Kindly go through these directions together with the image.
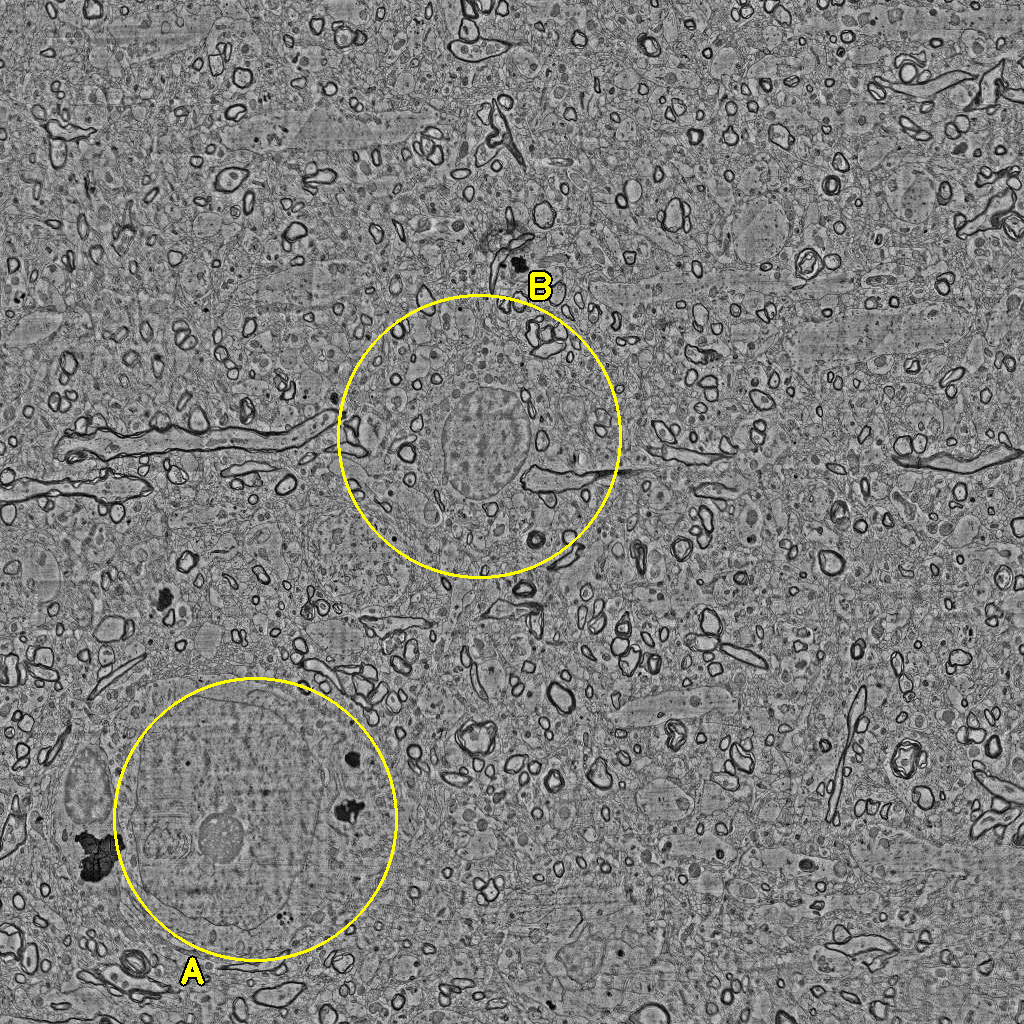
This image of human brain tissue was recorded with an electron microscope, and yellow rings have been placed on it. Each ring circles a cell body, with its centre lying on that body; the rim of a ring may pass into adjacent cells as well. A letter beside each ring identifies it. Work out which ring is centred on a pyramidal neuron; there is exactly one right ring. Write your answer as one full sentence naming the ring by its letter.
Ring A is the one whose centre lies on a cell of that kind.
